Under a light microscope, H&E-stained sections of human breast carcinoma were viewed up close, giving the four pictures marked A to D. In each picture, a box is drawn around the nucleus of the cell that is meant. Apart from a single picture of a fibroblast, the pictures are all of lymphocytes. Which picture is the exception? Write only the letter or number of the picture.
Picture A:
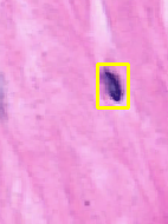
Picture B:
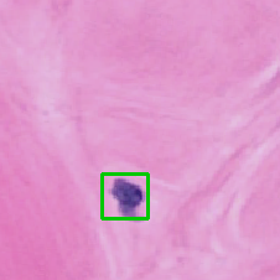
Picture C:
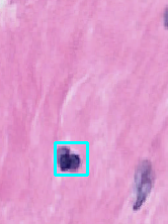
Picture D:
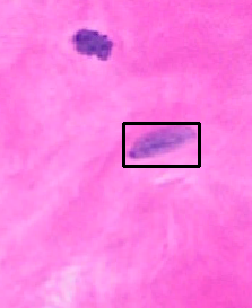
D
